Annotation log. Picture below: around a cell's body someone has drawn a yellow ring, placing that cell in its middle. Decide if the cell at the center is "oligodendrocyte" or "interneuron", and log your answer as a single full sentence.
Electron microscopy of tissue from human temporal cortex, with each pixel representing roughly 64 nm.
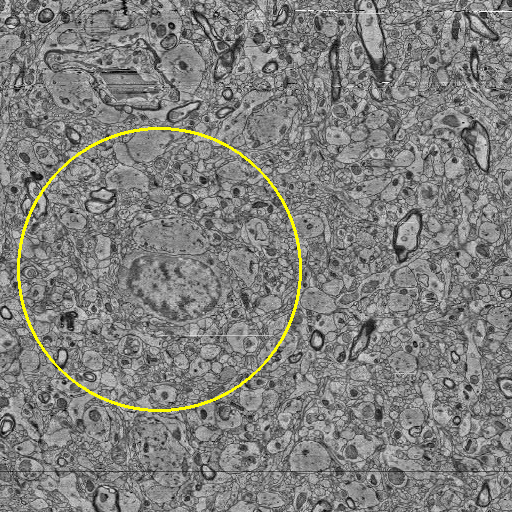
My entry records an oligodendrocyte as the cell sitting at the center of the yellow ring.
